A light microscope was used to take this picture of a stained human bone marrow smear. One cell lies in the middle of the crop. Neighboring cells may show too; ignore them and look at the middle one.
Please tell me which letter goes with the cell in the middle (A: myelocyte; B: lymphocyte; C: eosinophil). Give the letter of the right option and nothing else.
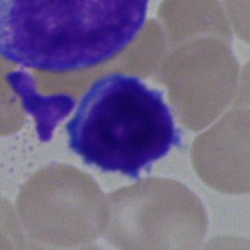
B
